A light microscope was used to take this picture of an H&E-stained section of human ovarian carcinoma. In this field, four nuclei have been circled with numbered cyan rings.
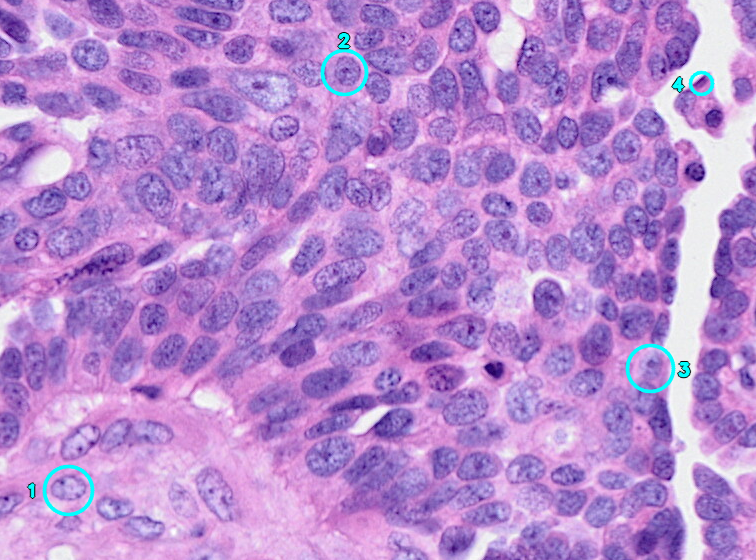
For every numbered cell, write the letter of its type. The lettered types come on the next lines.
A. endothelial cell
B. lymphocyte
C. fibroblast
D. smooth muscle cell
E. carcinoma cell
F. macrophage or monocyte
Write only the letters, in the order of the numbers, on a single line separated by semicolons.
C; E; E; E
